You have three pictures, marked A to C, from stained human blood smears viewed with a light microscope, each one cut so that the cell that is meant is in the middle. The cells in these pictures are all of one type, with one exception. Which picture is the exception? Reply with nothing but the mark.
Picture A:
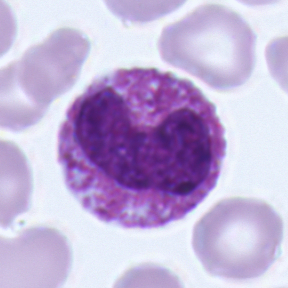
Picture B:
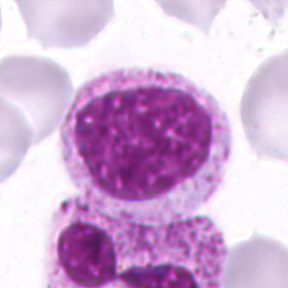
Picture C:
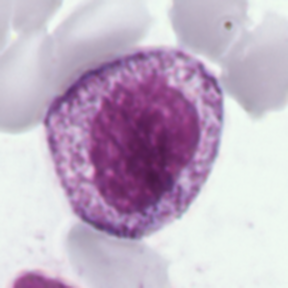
A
